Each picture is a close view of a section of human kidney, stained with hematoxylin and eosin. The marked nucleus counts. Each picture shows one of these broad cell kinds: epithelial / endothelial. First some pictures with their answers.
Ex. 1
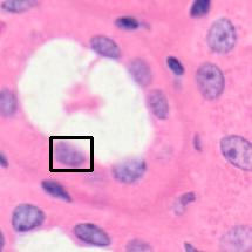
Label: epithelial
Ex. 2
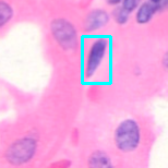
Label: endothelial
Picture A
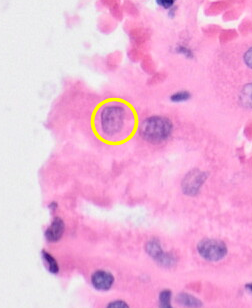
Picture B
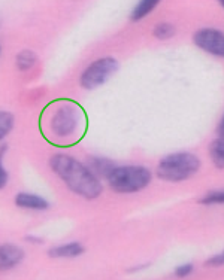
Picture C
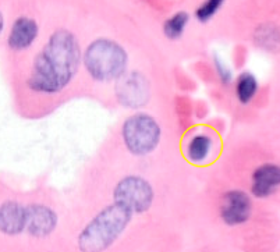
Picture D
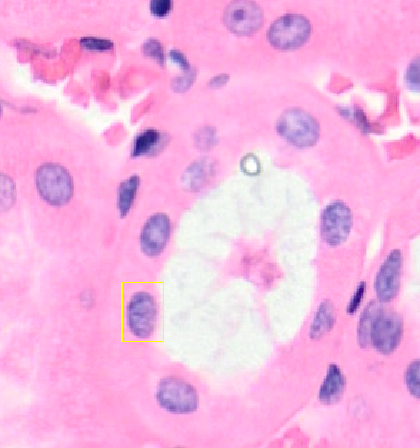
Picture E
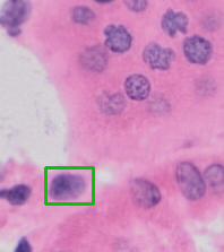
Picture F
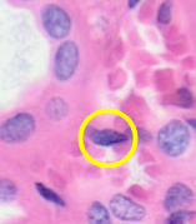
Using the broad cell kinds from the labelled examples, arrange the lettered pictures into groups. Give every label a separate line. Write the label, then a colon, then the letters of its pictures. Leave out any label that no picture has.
epithelial: A, B, D
endothelial: C, E, F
